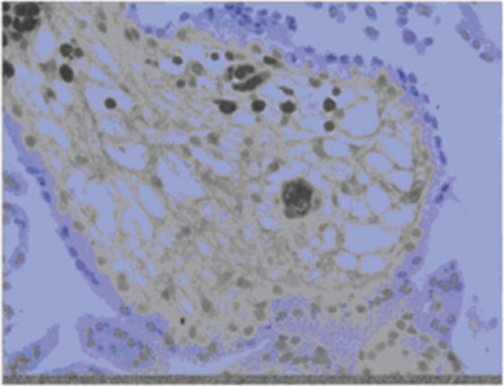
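This is a chorionic villus cut across, a rounded finger of tissue bounded by a thin layer of surface cells. Its core is a loose, net-like meshwork of cells with open spaces between them, and this meshwork is stained grey throughout, with a cluster of very dark cells near the top. Smaller pieces of neighbouring villi with their bluish surface layers lie at the edges.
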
